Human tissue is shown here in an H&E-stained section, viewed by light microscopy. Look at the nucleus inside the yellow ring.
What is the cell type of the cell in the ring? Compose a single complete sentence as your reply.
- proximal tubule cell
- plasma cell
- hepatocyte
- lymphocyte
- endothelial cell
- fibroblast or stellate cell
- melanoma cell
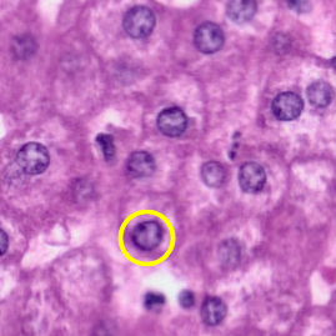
Microscopically, the cell in the ring is categorized as a hepatocyte.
